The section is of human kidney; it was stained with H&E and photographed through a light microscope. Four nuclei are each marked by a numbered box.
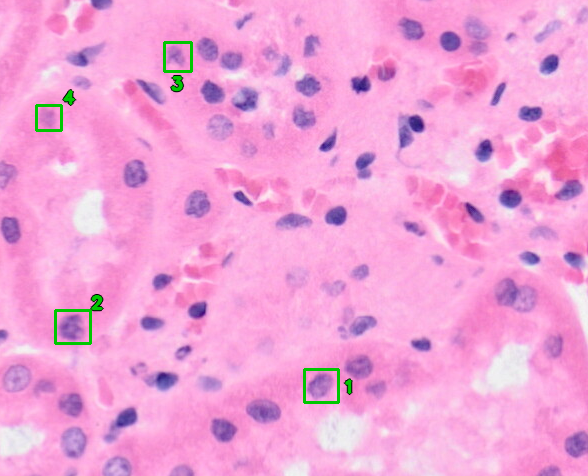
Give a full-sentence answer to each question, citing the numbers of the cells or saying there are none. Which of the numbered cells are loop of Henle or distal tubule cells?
The nucleus numbered 3 is the only one that belongs to a loop of Henle or distal tubule cell.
